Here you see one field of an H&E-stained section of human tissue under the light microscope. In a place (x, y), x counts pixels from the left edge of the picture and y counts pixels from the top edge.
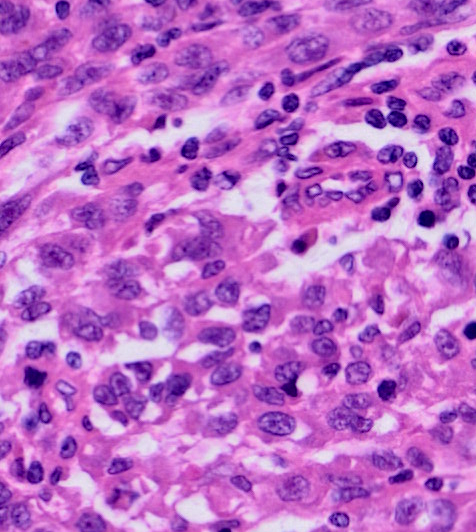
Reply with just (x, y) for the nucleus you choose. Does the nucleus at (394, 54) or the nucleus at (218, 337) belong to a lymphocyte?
(394, 54)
